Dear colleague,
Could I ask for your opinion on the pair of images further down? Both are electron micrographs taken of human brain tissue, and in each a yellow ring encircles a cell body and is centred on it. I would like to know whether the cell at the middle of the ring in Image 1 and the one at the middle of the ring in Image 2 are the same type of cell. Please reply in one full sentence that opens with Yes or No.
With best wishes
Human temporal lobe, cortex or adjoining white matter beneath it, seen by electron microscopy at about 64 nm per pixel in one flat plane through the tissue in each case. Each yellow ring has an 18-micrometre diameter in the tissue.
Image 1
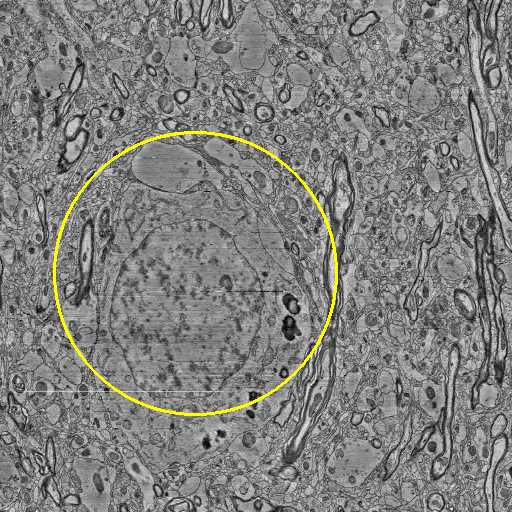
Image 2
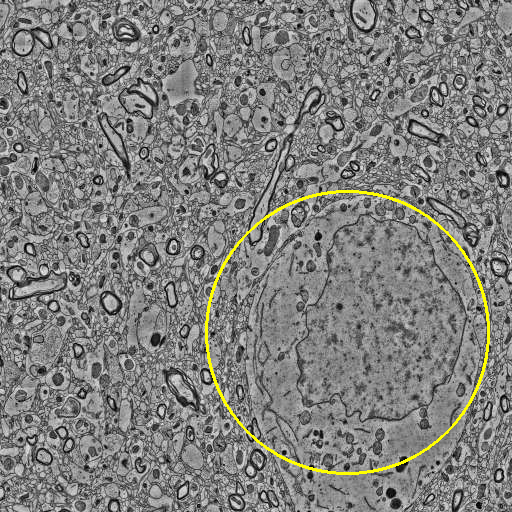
Yes, the cells at the ring centres in Image 1 and Image 2 are of one type.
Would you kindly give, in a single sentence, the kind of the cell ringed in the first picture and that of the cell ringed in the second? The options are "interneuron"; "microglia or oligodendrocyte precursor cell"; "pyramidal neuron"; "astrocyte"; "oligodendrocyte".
In each picture the ringed cell is a pyramidal neuron.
